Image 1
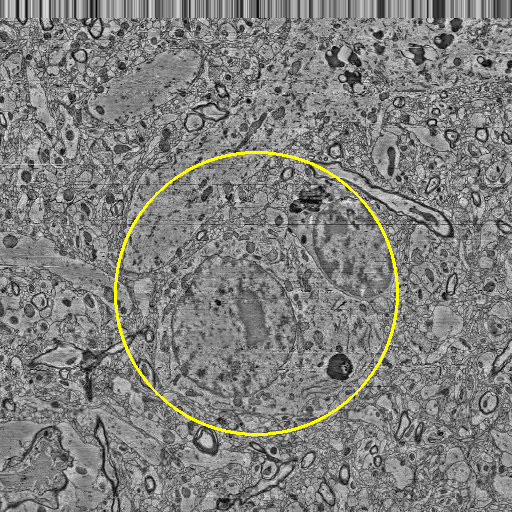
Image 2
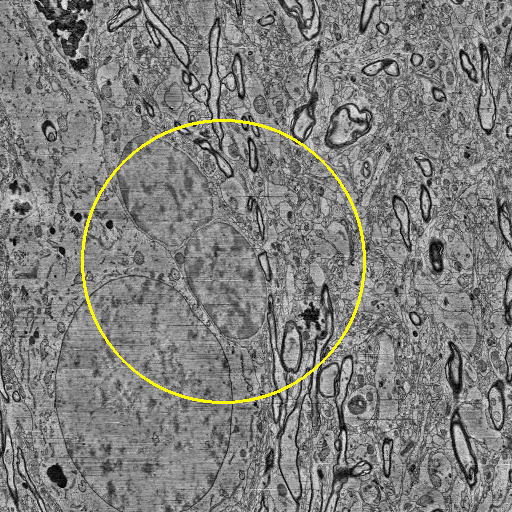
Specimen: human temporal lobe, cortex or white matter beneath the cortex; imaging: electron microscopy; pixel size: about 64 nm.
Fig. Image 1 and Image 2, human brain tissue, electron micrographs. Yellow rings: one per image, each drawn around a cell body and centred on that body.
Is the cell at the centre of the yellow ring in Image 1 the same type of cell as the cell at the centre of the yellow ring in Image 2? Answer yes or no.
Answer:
no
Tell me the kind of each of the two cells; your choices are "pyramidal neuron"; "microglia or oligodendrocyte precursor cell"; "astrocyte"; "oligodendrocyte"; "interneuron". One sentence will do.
The ringed cell is an interneuron in the first picture and an oligodendrocyte in the second picture.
